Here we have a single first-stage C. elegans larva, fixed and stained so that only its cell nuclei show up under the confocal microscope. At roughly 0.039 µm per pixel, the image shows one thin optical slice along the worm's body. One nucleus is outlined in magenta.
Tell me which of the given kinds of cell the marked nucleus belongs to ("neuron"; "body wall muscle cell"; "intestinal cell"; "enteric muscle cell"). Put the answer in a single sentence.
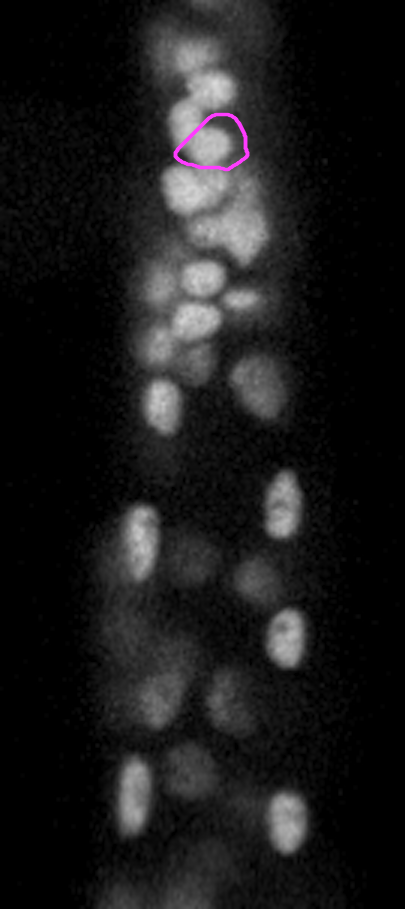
The nucleus comes from a neuron.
